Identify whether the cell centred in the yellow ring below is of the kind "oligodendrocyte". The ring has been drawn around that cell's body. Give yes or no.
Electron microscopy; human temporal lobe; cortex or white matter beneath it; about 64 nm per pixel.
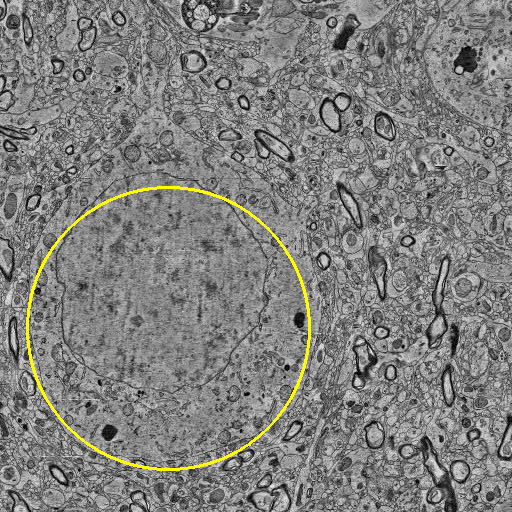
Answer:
no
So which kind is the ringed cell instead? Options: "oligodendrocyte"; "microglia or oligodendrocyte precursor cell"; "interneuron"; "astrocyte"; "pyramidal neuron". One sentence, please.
What the ring is centred on is a pyramidal neuron.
